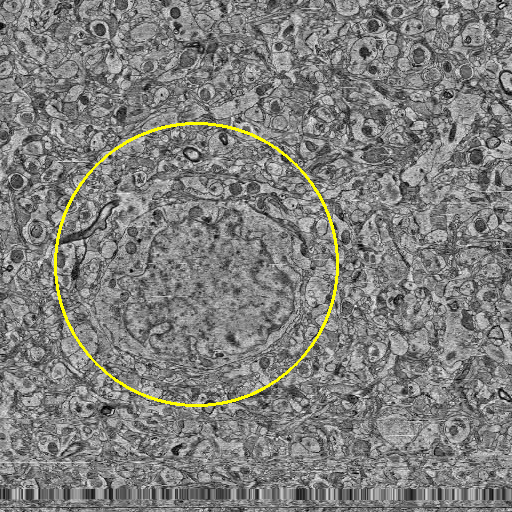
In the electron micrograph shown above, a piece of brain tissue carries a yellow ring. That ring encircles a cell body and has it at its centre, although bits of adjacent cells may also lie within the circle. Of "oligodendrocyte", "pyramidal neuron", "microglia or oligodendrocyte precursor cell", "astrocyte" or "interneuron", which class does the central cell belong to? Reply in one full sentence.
The cell body at the centre of the yellow ring belongs to an interneuron.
